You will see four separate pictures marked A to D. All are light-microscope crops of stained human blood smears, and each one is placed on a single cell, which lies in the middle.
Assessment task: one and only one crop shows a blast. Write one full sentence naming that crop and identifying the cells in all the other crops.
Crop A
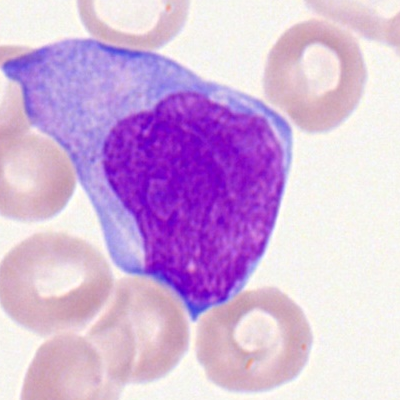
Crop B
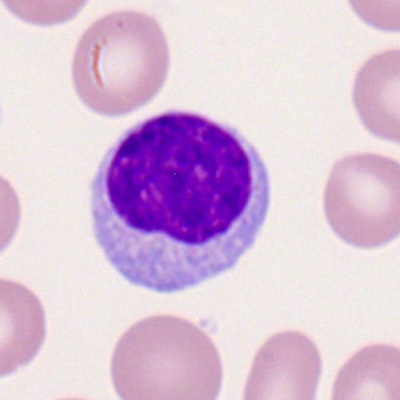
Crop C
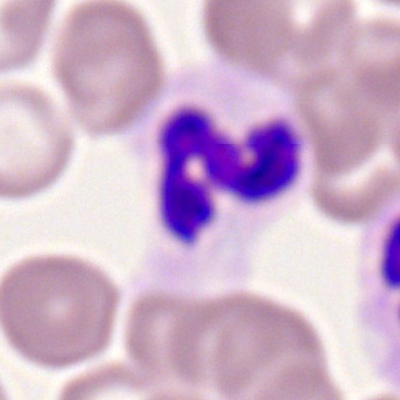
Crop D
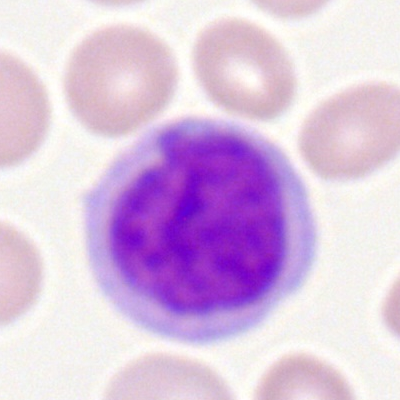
Placed in the middle of crop A is a blast, while crop B is a lymphocyte, crop C is a neutrophil and crop D is a monocyte.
